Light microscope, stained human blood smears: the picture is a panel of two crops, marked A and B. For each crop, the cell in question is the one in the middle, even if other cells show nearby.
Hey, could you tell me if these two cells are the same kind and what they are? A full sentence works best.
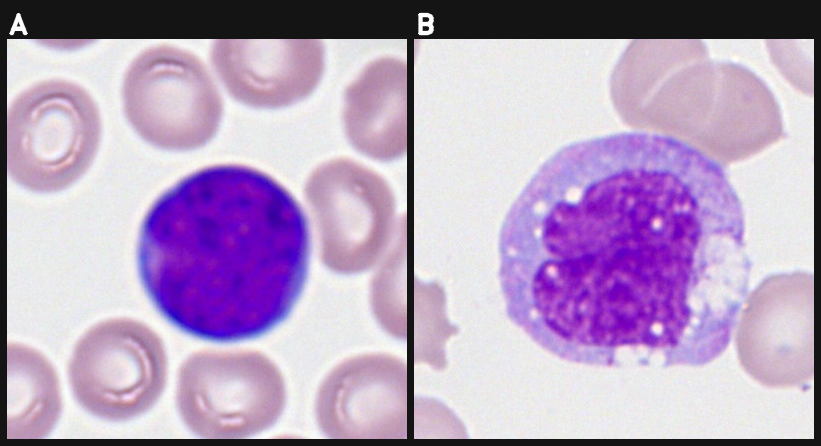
No, crop A contains a blast, whereas crop B contains a monocyte.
